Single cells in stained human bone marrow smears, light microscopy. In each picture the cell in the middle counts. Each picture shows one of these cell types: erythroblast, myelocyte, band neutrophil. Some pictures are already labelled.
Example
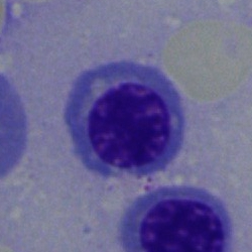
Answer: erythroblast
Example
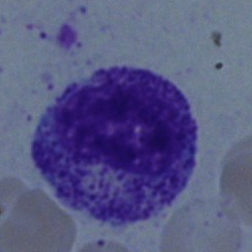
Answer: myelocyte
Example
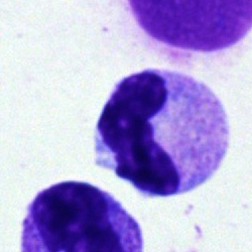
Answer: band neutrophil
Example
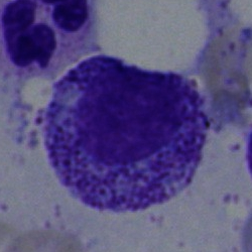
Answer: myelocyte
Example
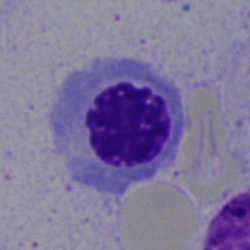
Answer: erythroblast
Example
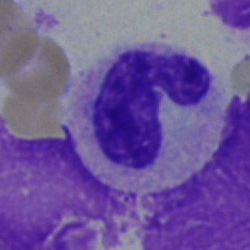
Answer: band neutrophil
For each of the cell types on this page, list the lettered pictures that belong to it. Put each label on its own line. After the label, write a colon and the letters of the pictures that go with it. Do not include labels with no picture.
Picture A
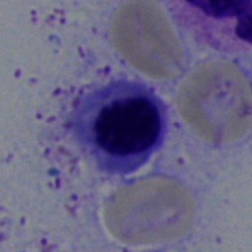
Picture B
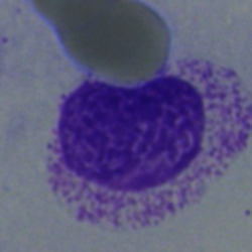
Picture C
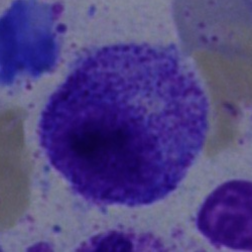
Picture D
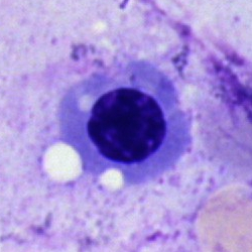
erythroblast: A, D
myelocyte: B, C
